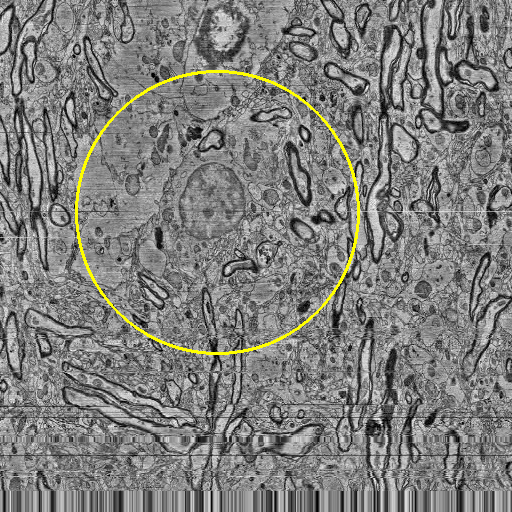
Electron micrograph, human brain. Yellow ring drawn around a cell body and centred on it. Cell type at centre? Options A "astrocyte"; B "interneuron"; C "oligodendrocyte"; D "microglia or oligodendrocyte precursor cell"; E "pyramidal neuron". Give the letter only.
C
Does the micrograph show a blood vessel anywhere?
Yes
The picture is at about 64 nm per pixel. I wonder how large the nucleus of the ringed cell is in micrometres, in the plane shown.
In this plane the nucleus measures roughly 5 by 4 micrometers.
